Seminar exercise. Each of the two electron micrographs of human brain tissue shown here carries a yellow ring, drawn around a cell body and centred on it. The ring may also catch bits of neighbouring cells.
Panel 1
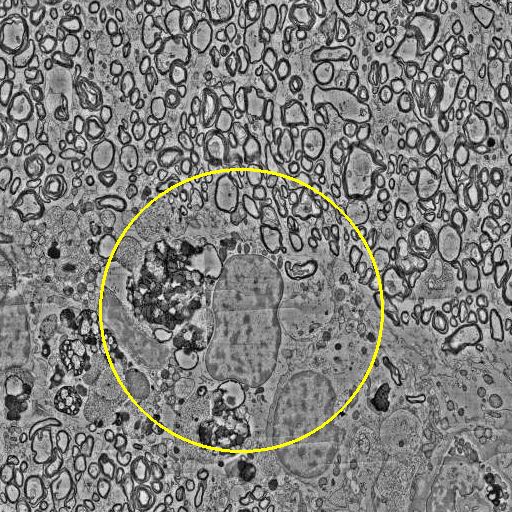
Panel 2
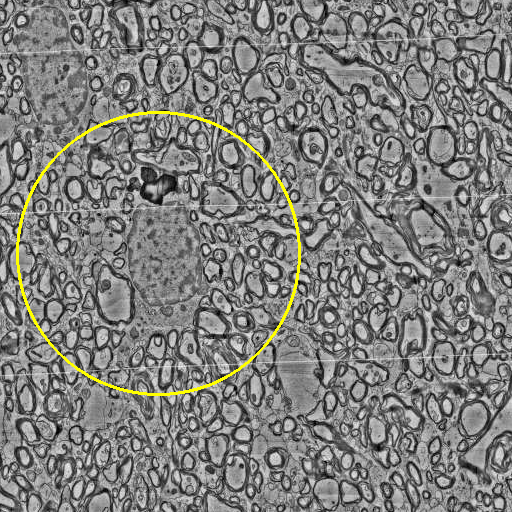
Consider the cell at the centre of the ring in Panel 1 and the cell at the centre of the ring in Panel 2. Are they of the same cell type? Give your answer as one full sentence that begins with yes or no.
No, the two cells are of two types.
